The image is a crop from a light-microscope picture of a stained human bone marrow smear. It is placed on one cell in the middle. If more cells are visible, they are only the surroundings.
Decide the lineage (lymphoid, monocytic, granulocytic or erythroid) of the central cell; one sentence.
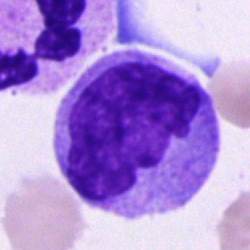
The cell in the middle of the crop belongs to the monocytic lineage.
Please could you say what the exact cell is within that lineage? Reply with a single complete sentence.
In this smear crop, the middle cell is a monocyte.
